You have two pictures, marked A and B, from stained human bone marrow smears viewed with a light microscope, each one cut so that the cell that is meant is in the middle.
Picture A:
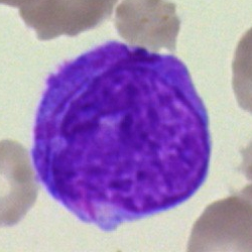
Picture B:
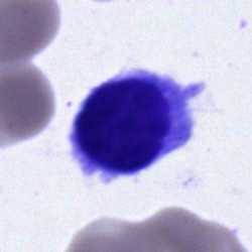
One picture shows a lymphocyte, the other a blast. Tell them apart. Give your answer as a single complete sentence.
Picture A is of a blast, and picture B is of a lymphocyte.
